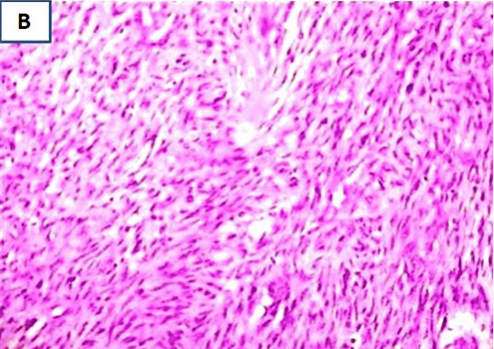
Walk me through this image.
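This field shows tumor stroma with diffuse hypercellularity made of spindle-shaped cells. The cells lie densely packed in short intersecting bundles and loose whorls across the whole field. Their nuclei are elongated and dark purple, set in pink, fibrillar cytoplasm and stroma. No glands or epithelial-lined spaces are seen in this field. Small paler areas with less dense cells appear here and there between the bundles.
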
